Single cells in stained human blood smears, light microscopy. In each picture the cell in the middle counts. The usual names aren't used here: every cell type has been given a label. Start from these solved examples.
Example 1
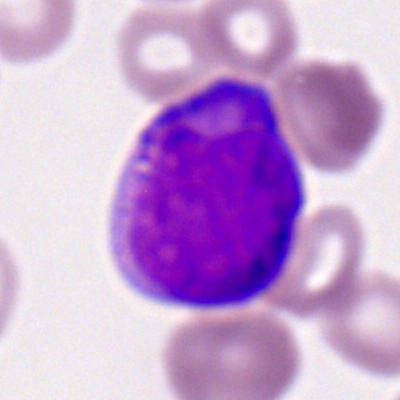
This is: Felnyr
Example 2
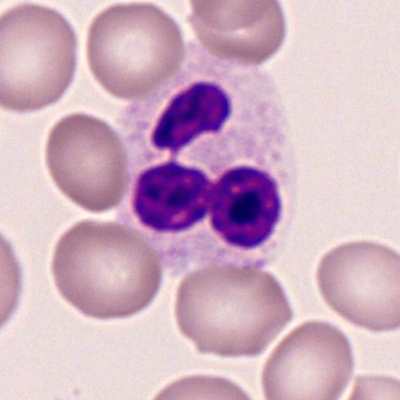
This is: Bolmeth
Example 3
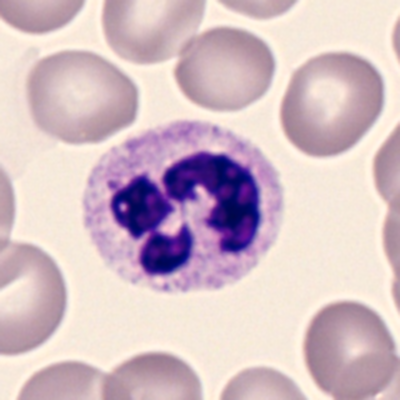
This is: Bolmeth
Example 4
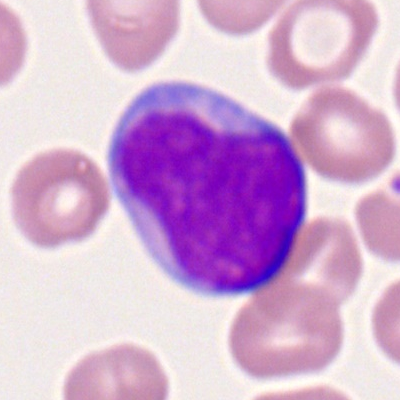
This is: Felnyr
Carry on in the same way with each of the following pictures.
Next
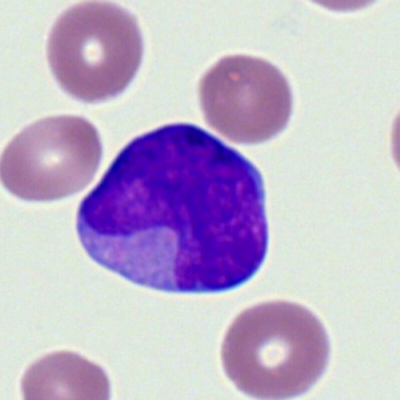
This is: Felnyr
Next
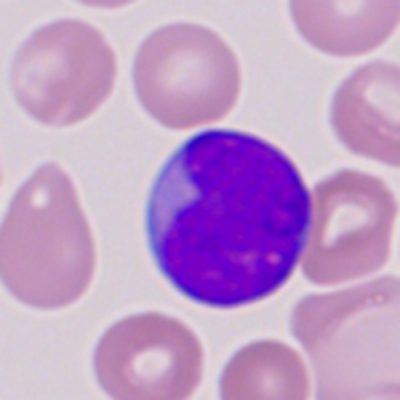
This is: Felnyr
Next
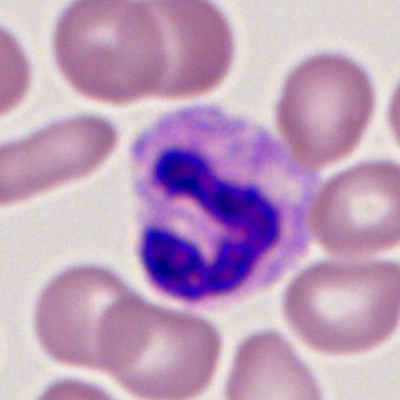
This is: Bolmeth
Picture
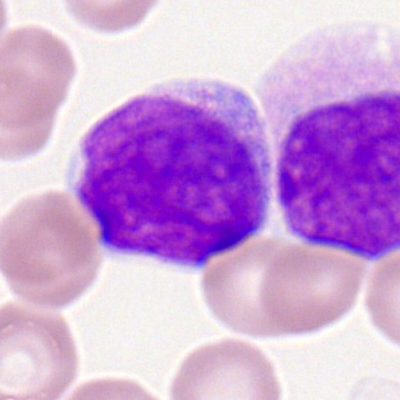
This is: Felnyr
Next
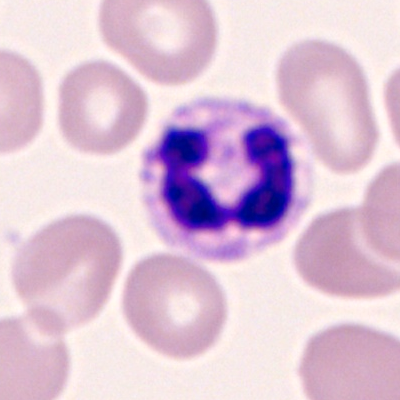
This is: Bolmeth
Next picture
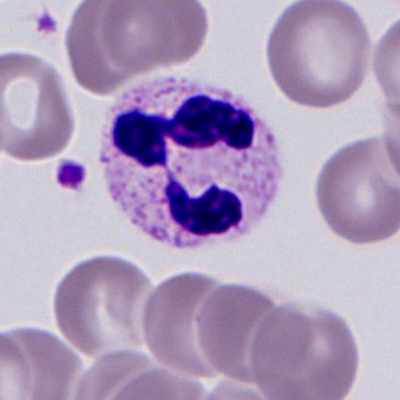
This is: Bolmeth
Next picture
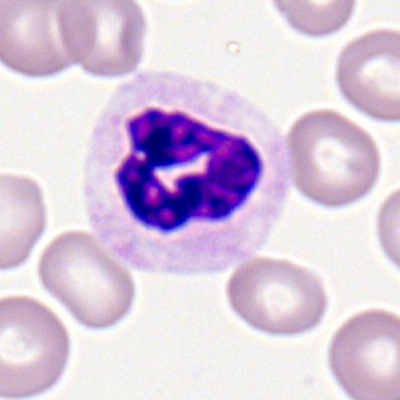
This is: Bolmeth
